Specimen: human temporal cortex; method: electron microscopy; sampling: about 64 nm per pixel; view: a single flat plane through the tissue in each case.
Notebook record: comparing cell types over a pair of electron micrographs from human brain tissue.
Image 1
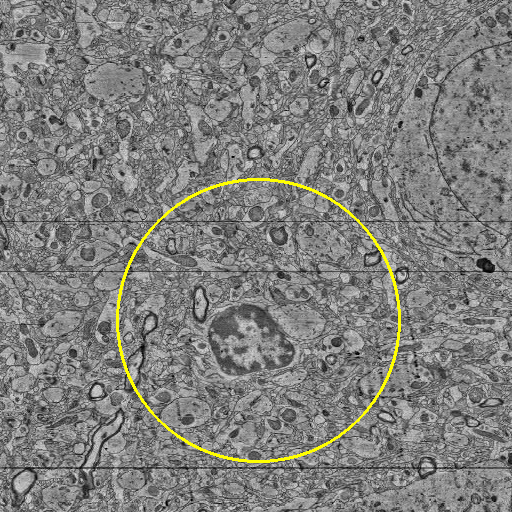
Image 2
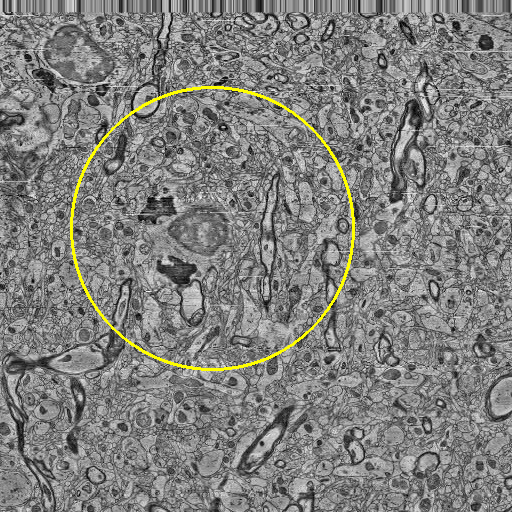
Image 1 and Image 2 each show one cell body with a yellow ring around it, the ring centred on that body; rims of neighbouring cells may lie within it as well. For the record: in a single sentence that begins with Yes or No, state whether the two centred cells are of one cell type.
No, two cell types are found among the centred cells of Image 1 and Image 2.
